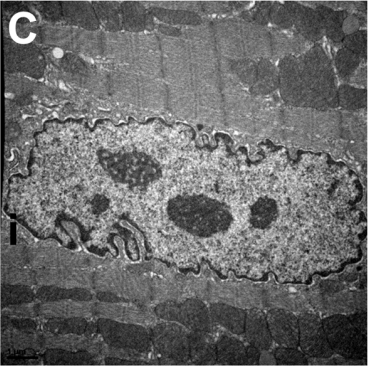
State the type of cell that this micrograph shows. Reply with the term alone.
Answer: cardiomyocytes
